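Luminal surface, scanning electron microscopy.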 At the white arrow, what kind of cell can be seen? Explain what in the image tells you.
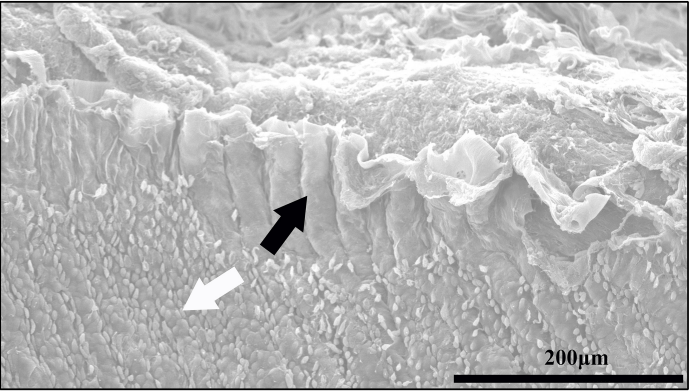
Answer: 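The surface is covered by a continuous sheet of small, flat, elongated cells. Each cell has a slight central bulge and they fit together like cobblestones. The cells line up in wavy rows.
Hence: endothelial cells.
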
